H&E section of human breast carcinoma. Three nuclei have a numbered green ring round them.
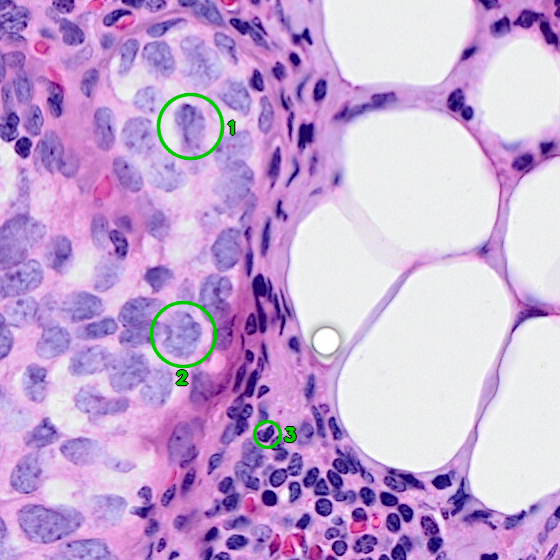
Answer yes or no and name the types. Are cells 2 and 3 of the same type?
No, cell number 2 is a carcinoma cell, and cell number 3 is a lymphocyte.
